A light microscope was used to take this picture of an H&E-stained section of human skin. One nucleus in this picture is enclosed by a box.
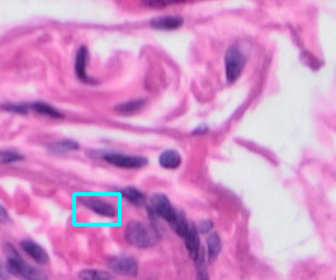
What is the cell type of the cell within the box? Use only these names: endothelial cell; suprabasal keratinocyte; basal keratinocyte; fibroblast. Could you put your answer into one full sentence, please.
The identity of the cell within the box: it is an endothelial cell.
